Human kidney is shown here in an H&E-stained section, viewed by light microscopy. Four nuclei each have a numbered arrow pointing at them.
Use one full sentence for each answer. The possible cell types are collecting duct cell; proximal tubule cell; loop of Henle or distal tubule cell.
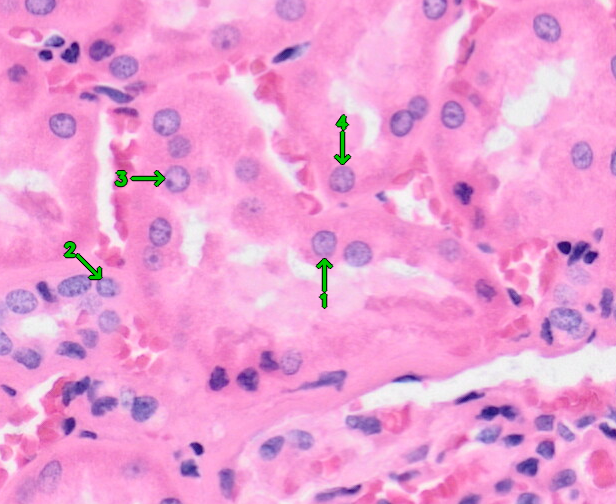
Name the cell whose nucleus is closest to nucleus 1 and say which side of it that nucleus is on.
It is a proximal tubule cell, whose nucleus lies to the right of nucleus 1.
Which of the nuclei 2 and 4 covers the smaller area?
With nucleus 4 about 1.5 times its size, nucleus 2 is the smaller of the two.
